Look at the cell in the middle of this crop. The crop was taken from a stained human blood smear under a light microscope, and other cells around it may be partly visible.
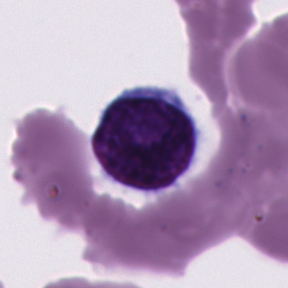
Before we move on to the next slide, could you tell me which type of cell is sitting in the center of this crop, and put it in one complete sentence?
The cell shown in the center of this light-microscope crop is a hairy cell.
